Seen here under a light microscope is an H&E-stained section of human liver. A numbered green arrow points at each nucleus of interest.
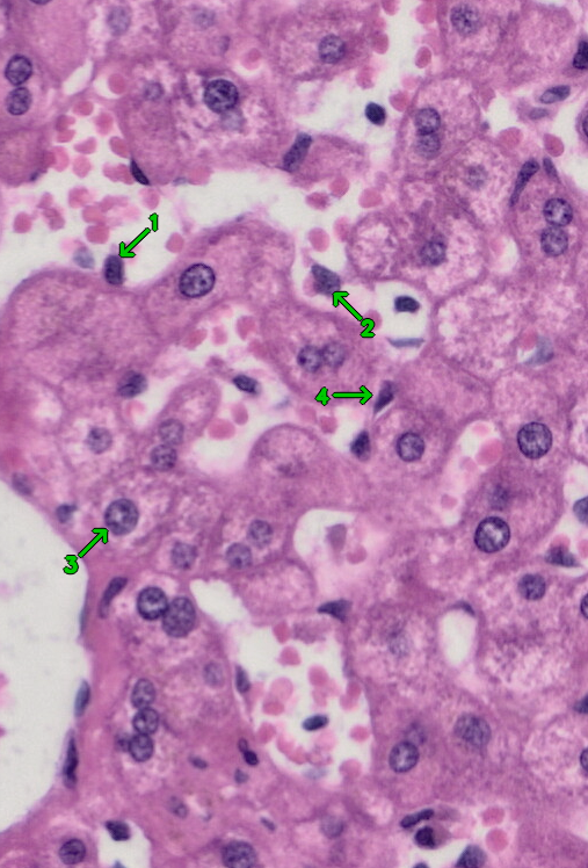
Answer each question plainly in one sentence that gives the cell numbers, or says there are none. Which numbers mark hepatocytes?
Cell 3 alone, of all the numbered cells, is a hepatocyte.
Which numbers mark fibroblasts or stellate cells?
Cell 4 is a fibroblast or stellate cell, while all remaining marked cells are of other types.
